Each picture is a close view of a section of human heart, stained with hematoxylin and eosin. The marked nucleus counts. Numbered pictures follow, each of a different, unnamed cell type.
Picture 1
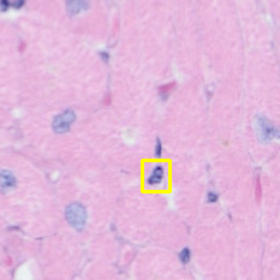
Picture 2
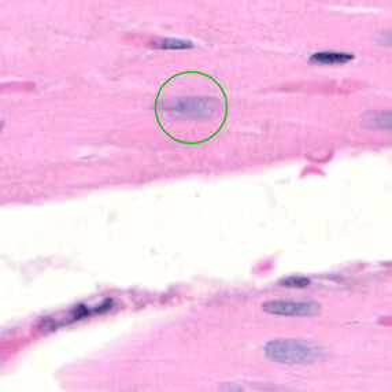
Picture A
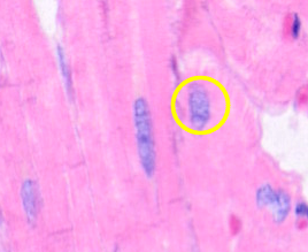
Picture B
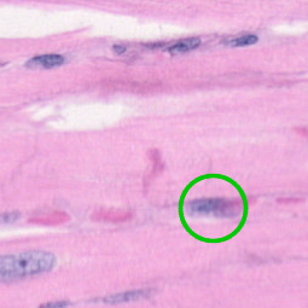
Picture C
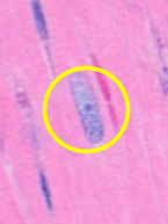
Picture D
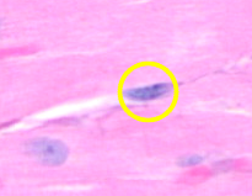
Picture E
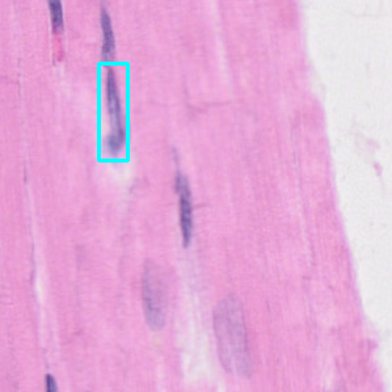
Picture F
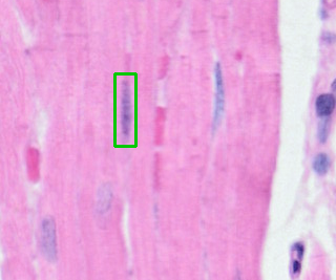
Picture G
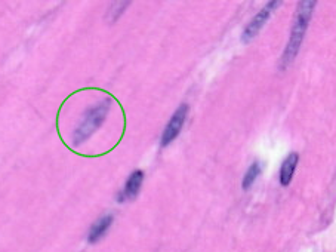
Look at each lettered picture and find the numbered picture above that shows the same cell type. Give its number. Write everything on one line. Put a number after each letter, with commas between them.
A 2, B 1, C 2, D 1, E 1, F 1, G 2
